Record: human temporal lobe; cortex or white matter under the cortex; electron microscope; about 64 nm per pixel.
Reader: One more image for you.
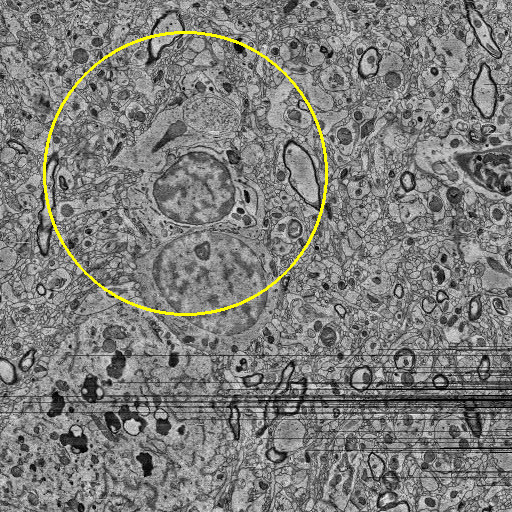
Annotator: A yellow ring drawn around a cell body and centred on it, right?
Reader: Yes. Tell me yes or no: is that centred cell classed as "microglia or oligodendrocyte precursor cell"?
yes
